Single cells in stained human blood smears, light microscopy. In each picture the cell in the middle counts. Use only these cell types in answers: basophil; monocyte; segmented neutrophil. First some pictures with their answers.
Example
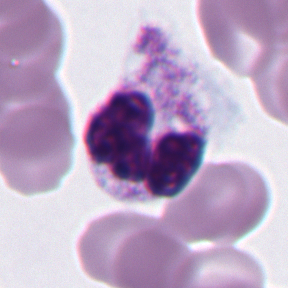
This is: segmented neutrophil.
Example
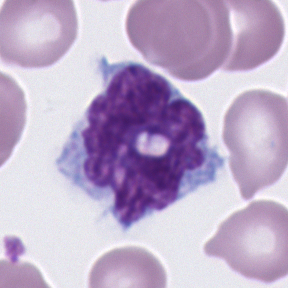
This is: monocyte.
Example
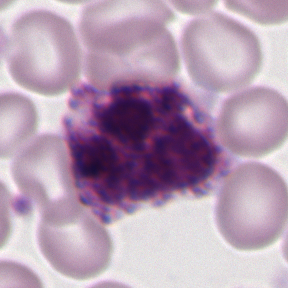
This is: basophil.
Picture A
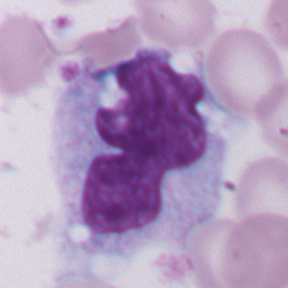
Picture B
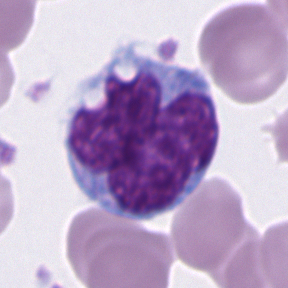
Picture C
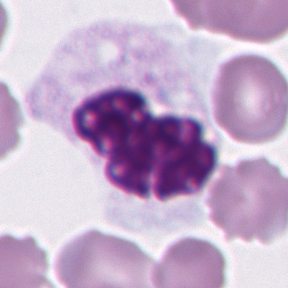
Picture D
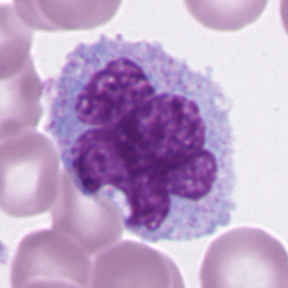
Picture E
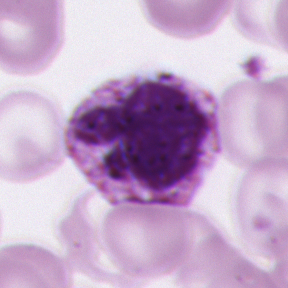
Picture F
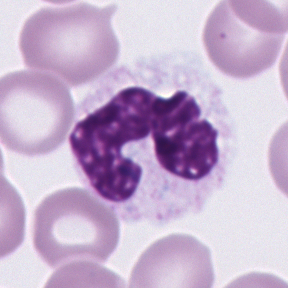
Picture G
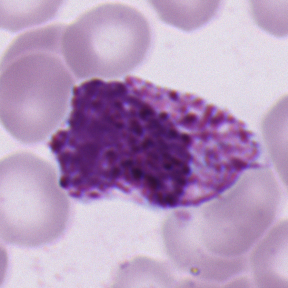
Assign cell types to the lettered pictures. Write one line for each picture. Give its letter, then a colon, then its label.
A: monocyte.
B: monocyte.
C: segmented neutrophil.
D: monocyte.
E: basophil.
F: segmented neutrophil.
G: basophil.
